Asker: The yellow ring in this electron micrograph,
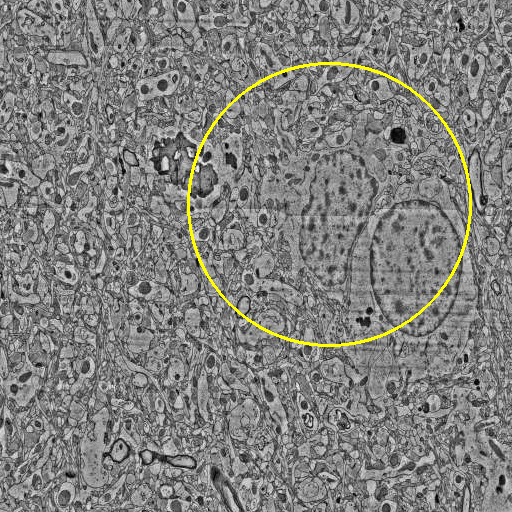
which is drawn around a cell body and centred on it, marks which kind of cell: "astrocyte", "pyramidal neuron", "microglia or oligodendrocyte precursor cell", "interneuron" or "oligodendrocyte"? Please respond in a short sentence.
The marked cell is an astrocyte.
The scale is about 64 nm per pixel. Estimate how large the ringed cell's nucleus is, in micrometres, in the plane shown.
In this plane the nucleus measures roughly 8 by 4 micrometres.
